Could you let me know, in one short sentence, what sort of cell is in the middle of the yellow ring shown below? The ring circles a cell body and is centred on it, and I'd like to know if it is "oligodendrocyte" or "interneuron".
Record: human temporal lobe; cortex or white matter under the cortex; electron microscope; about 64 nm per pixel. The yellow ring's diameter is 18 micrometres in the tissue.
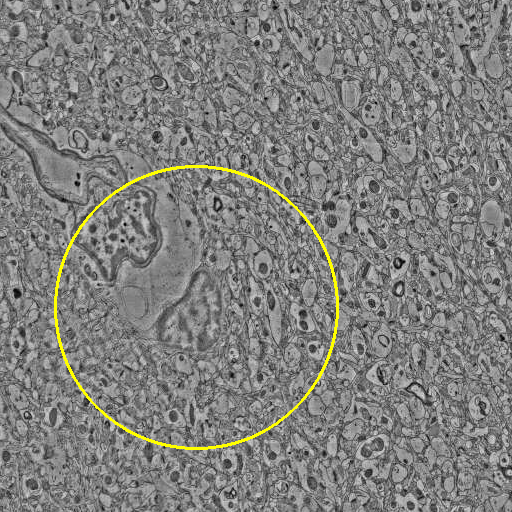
The ring circles the cell body of an oligodendrocyte.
